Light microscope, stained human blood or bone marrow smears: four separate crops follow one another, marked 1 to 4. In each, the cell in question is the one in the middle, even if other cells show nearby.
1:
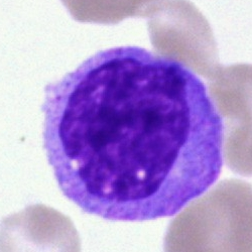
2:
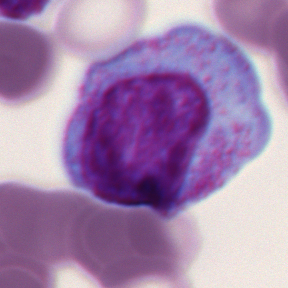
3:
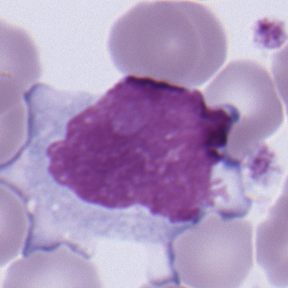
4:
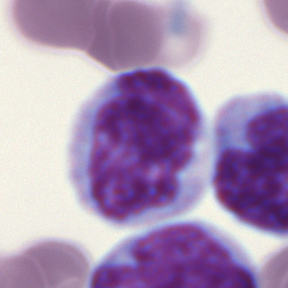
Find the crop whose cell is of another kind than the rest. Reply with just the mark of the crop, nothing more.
2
